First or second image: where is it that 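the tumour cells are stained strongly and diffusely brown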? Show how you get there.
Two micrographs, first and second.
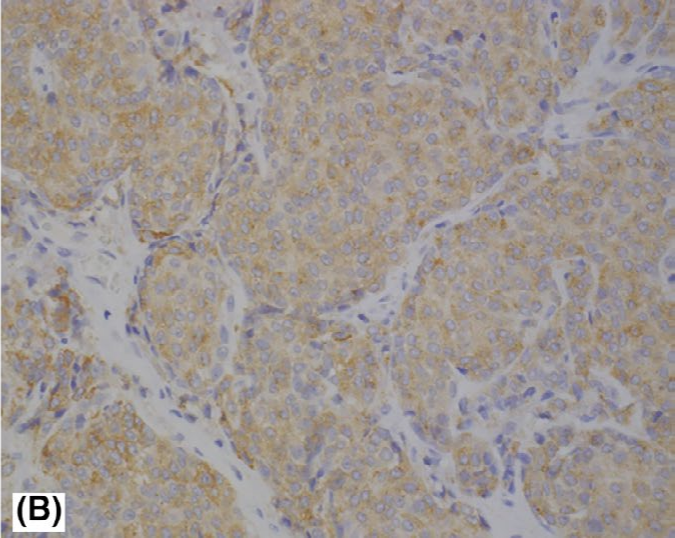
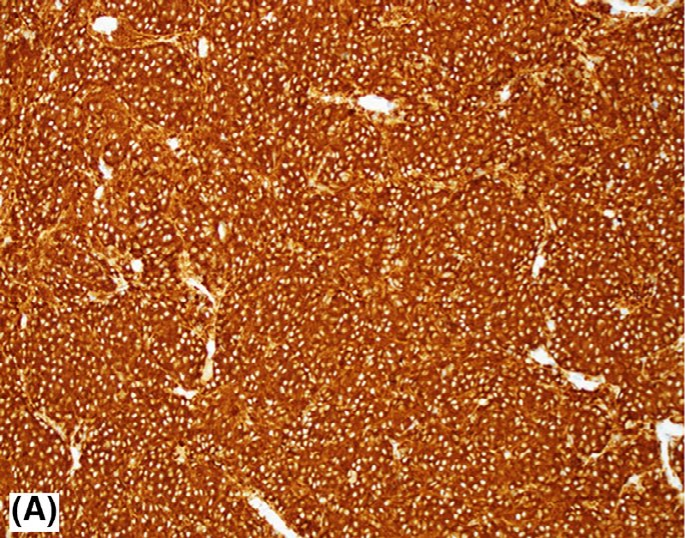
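First image: cell nests show only weak, patchy light-brown cytoplasmic staining. Second image: nearly every cell is intensely and evenly stained dark brown. On this evidence: the second image.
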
